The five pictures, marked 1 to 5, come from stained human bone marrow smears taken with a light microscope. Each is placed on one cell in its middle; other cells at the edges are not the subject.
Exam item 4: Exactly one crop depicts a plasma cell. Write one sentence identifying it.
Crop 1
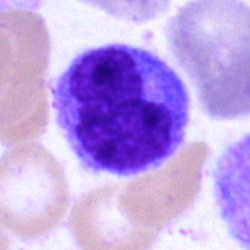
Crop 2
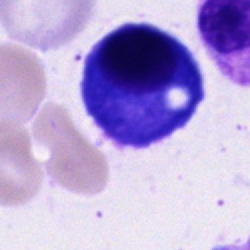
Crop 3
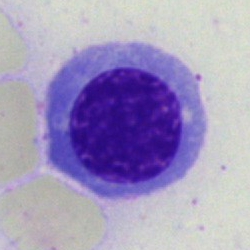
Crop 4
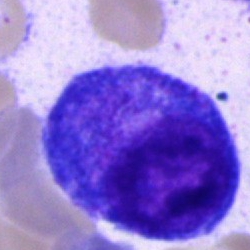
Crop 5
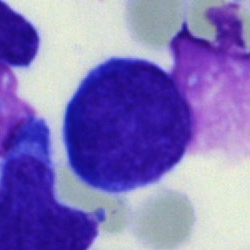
Crop 2 is the crop containing a plasma cell.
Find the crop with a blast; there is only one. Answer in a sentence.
That would be crop 5; it shows a blast.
